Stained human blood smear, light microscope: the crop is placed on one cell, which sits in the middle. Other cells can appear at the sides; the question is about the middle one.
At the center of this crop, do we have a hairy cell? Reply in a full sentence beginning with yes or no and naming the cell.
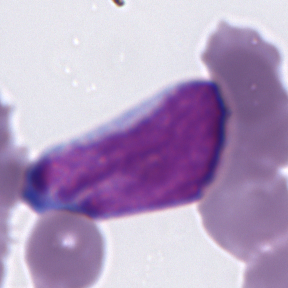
No, the centrally placed cell is a myeloblast, not a hairy cell.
